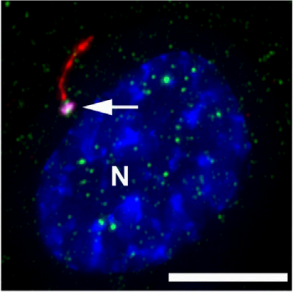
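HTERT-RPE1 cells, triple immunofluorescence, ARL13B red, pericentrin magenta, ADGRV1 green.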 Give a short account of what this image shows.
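Cultured cell with a single primary cilium seen as a thin red rod projecting from a point at the upper left edge of a large oval blue nucleus. The nucleus shows mottled chromatin with brighter blue patches and scattered small green dots. The rod is slender, slightly curved and unbranched. Outside the nucleus the background is dark with sparse faint green puncta.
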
